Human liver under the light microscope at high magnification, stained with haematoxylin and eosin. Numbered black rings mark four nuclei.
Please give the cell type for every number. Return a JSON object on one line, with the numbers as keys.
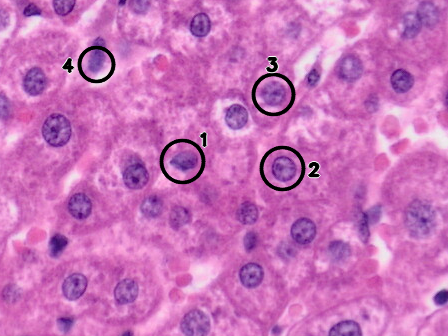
{"1": "endothelial cell", "2": "hepatocyte", "3": "hepatocyte", "4": "Kupffer cell"}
